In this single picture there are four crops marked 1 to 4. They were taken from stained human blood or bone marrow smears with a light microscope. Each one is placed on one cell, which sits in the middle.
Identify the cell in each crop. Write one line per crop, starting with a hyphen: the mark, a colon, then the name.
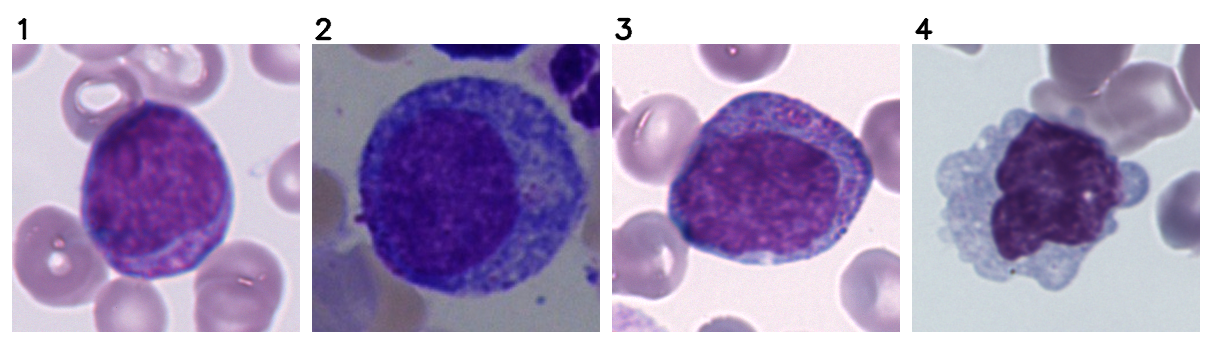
- 1: promyelocyte
- 2: promyelocyte
- 3: promyelocyte
- 4: monocyte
